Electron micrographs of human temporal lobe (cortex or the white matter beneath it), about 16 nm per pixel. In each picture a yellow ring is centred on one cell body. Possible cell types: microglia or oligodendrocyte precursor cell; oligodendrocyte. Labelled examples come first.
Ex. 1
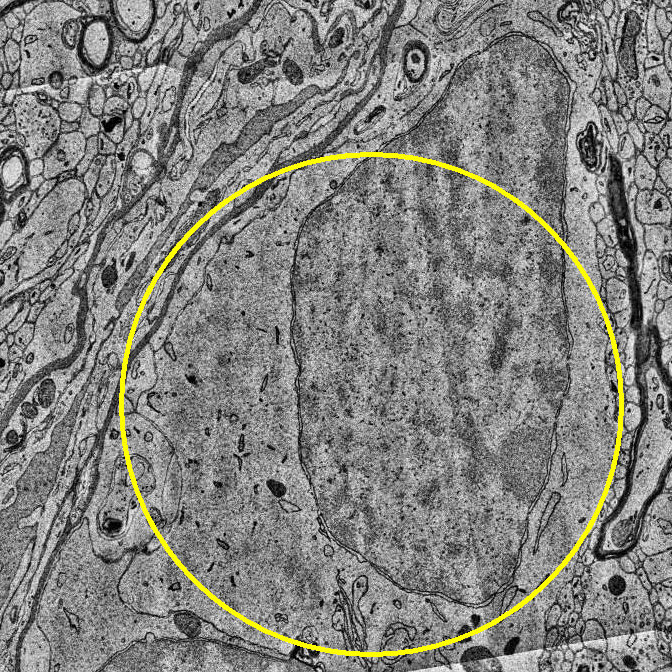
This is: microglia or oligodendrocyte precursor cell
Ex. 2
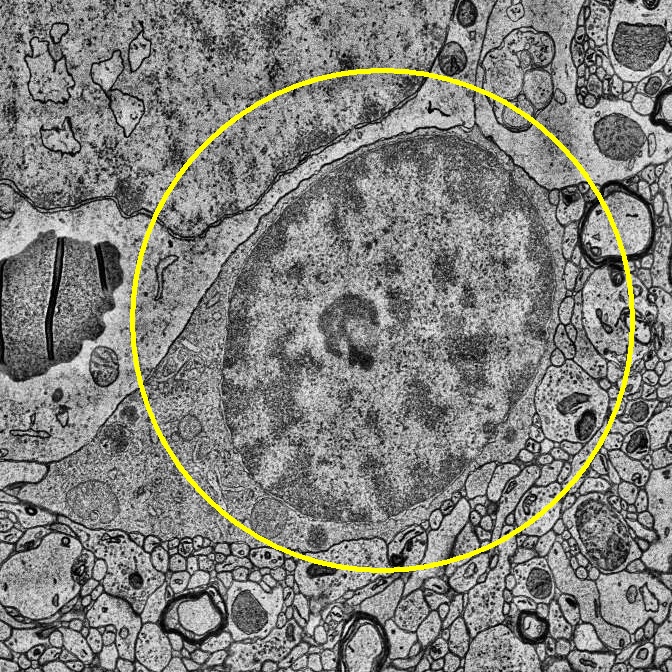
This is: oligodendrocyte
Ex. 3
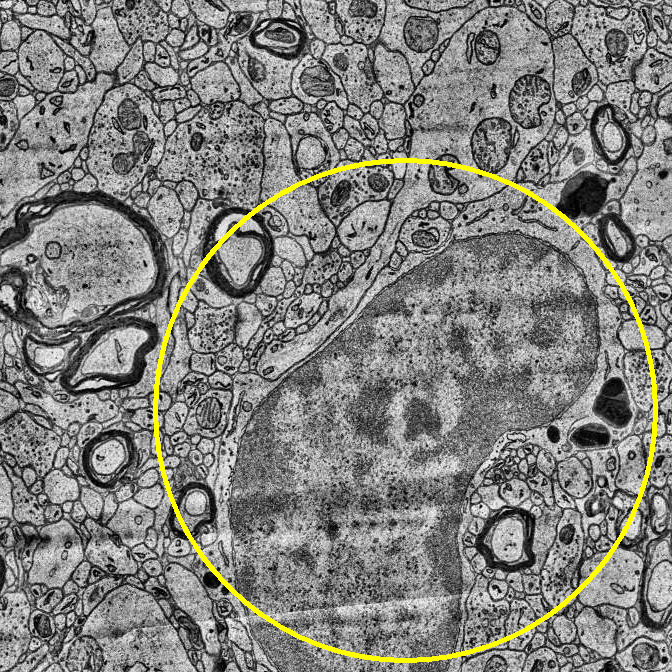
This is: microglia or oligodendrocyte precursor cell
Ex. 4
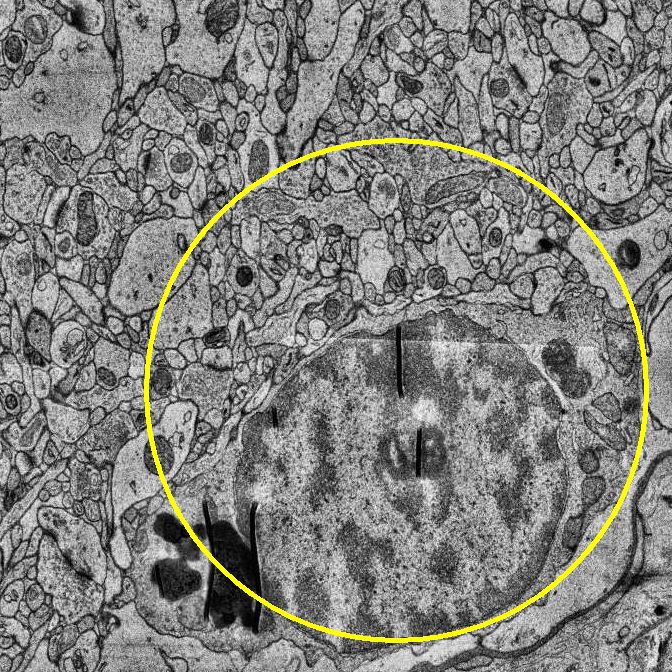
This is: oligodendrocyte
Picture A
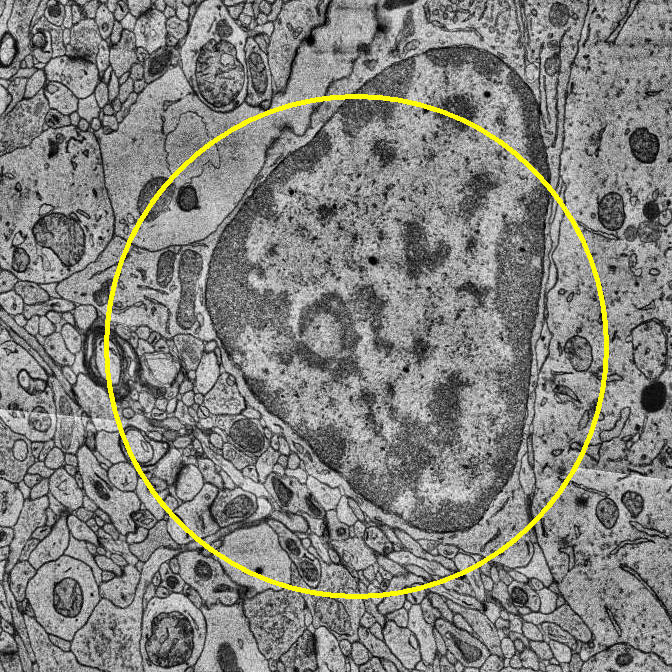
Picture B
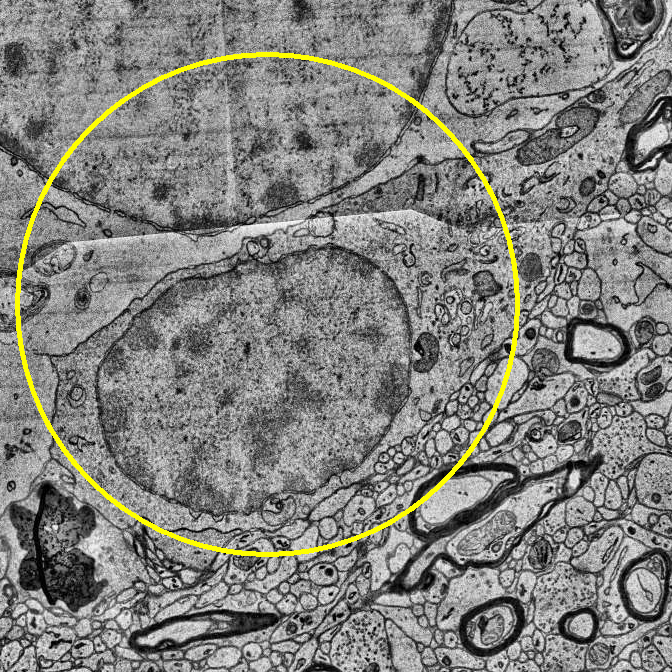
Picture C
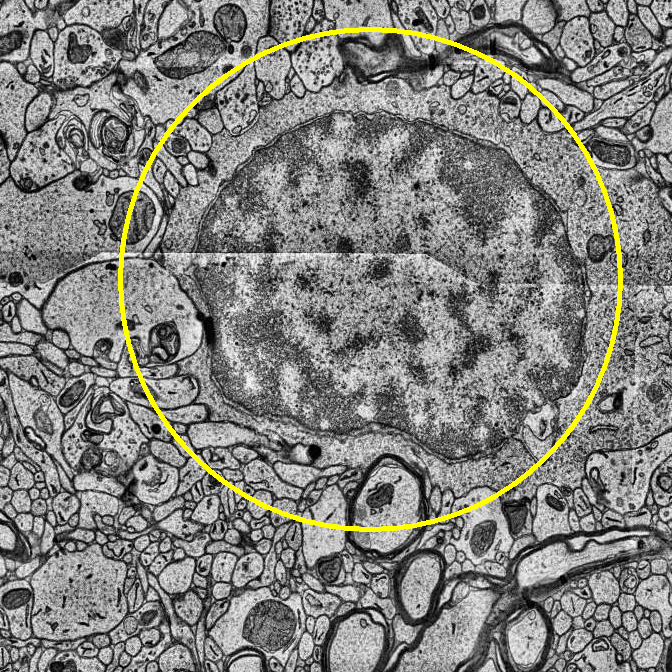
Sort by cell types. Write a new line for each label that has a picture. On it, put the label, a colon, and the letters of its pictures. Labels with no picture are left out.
microglia or oligodendrocyte precursor cell: A
oligodendrocyte: B, C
